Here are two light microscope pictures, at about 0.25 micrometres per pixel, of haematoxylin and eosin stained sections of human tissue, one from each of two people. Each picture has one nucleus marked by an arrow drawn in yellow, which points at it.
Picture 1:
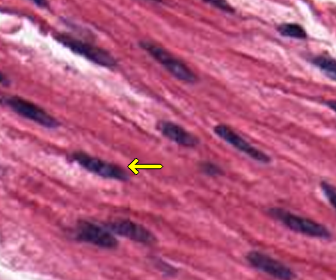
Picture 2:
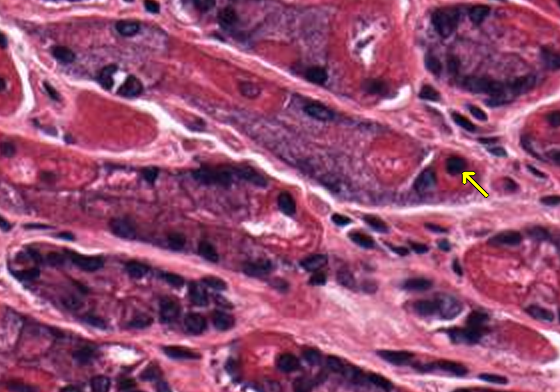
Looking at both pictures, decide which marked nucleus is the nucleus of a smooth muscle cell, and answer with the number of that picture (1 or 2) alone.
1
